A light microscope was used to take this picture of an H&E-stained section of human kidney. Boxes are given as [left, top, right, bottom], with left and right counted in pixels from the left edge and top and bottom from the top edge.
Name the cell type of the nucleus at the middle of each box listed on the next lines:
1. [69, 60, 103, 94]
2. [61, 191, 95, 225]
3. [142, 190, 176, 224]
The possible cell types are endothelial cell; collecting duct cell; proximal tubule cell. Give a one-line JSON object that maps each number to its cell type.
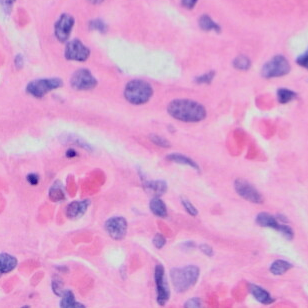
{"1": "collecting duct cell", "2": "endothelial cell", "3": "endothelial cell"}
